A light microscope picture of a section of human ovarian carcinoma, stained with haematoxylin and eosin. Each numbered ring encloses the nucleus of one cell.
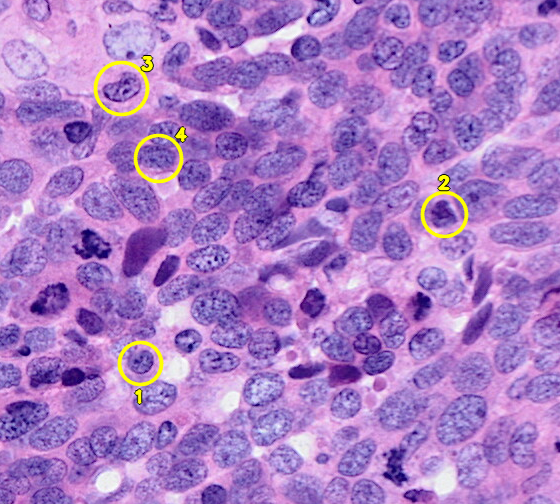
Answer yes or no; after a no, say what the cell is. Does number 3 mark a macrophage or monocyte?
Yes.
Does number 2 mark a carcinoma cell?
Yes.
